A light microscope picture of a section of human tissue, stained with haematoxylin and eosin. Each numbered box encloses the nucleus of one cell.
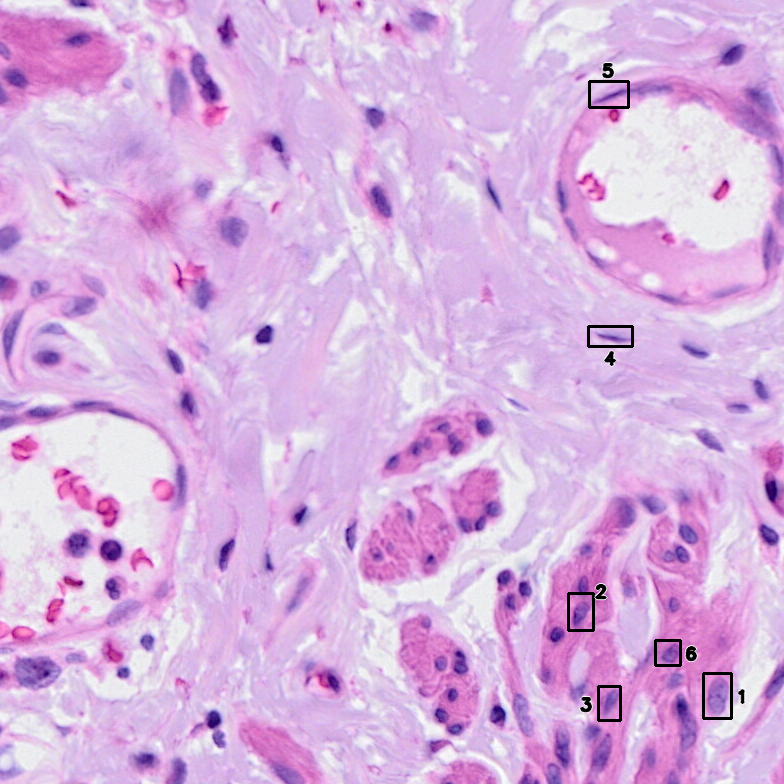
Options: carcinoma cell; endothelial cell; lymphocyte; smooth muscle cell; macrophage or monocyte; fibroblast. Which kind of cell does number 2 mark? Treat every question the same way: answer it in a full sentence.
Identified as a smooth muscle cell is the cell bearing the number 2.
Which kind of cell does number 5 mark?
The cell indicated with the number 5 is classed as an endothelial cell.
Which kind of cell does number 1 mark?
The identity of cell 1 is that of a smooth muscle cell.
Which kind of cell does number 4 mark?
Number 4 is placed on a fibroblast here.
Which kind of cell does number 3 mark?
At number 3, the marked cell is a smooth muscle cell.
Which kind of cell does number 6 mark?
The numbered cell 6 in this field is a smooth muscle cell.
